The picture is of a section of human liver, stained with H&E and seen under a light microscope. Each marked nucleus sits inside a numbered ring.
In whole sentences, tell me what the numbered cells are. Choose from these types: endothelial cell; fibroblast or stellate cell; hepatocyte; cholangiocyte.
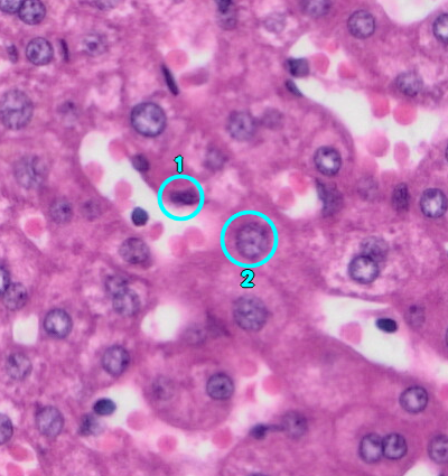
Cell 1 is a fibroblast or stellate cell and cell 2 is a hepatocyte.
